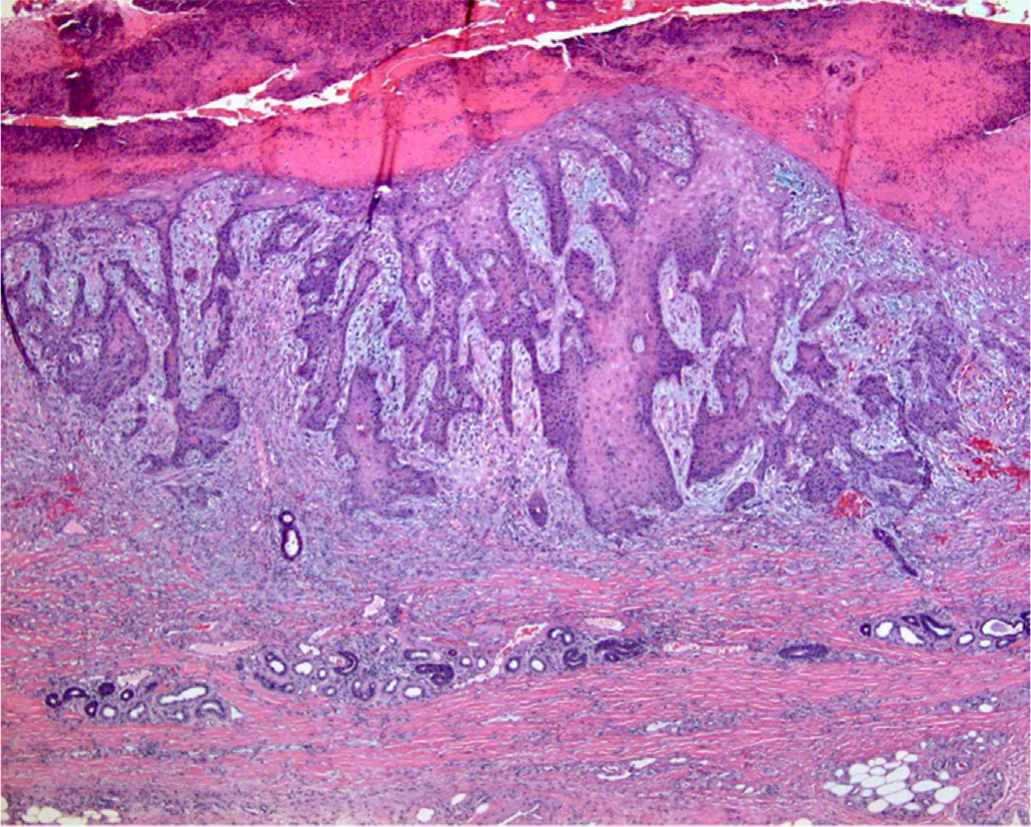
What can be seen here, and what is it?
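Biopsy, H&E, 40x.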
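This low-power view of skin shows invasive squamous cell carcinoma. Atypical keratinocytes form irregular, jagged, branching strands and nests that extend from the surface epidermis down into the dermis. A thick, compact layer of bright pink keratin covers the lesion. The tumour islands have darker purple peripheries and paler, glassy pink centres, which suggests keratinization. Lighter fibrous stroma with scattered inflammatory cells lies between the nests. Deeper in the dermis, coiled sweat glands form small ducts with clear lumens. Bundles of pink collagen run below them, and clear fat cells appear at the bottom edge.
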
